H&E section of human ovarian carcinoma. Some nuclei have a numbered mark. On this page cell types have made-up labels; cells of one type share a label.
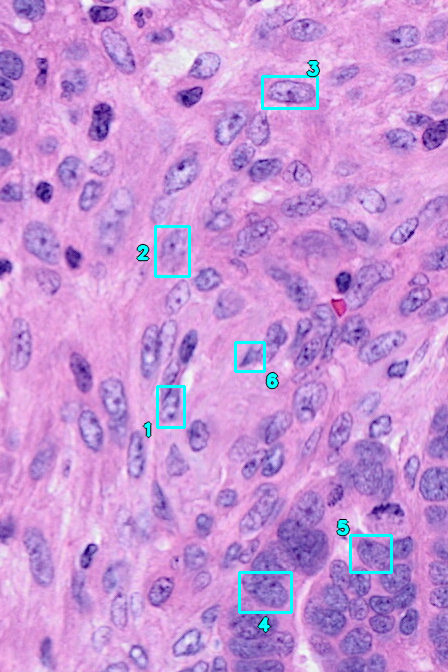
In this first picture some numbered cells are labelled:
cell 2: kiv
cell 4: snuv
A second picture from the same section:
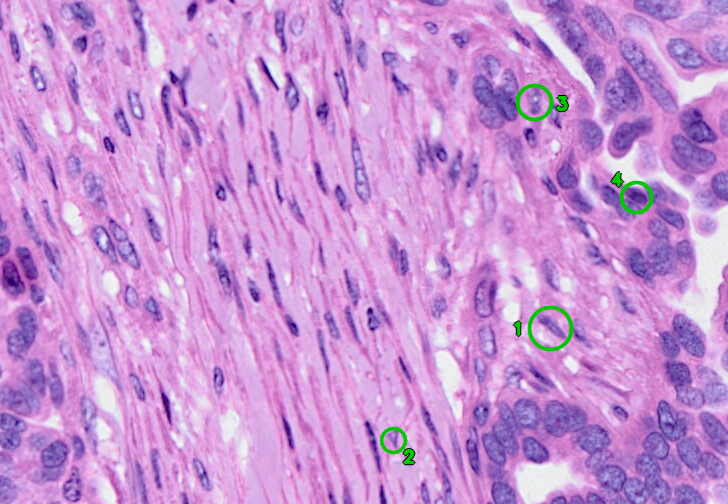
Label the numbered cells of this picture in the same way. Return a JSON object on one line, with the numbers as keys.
{"1": "kiv", "2": "kiv", "3": "kiv", "4": "snuv"}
